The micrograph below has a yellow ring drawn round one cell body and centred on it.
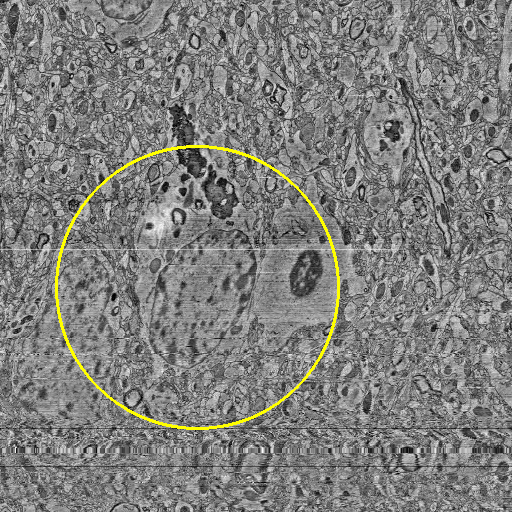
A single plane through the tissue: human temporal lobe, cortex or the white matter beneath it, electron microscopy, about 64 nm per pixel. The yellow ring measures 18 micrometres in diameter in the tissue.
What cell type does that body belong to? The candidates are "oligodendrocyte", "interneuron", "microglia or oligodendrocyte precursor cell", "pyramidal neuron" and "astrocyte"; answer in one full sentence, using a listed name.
This is an astrocyte, the cell whose body lies at the centre of the ring.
